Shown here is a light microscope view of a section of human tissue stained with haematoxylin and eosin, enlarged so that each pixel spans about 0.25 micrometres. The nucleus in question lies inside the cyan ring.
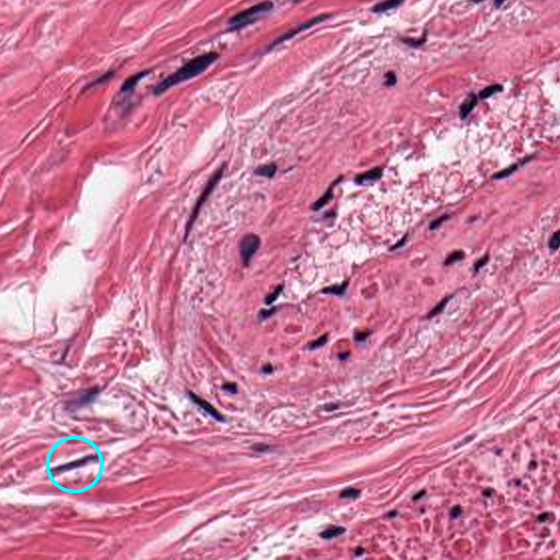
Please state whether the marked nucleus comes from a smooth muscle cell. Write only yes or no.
no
